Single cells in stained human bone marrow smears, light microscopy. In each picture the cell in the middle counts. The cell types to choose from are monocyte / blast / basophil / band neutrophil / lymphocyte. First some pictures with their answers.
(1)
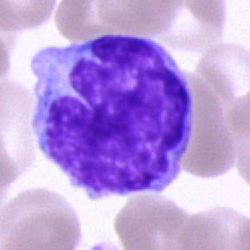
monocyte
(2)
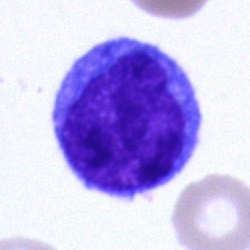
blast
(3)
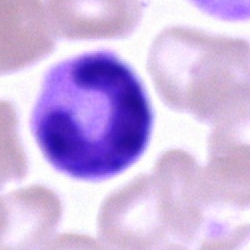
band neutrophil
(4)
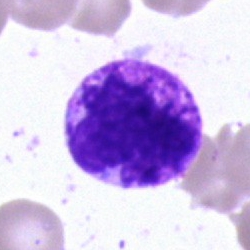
basophil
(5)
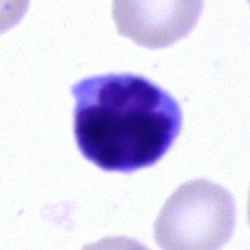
lymphocyte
